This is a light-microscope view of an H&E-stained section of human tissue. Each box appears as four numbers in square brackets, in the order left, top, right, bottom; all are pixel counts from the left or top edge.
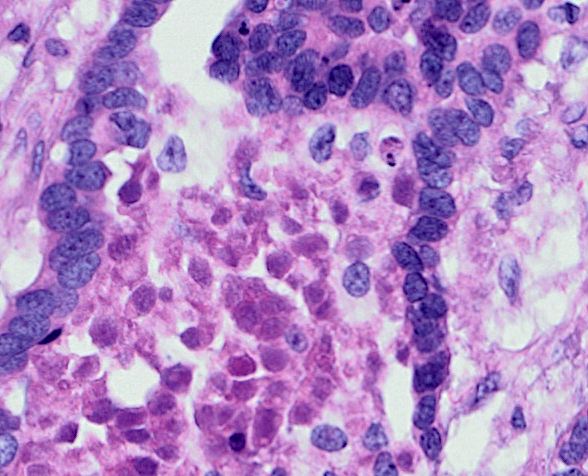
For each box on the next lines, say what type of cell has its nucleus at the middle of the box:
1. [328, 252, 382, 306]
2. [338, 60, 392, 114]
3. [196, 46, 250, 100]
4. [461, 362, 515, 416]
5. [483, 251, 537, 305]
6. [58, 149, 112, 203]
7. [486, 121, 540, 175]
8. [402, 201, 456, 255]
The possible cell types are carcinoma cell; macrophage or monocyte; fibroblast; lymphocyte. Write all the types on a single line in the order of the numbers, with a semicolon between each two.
macrophage or monocyte; carcinoma cell; carcinoma cell; fibroblast; fibroblast; carcinoma cell; fibroblast; carcinoma cell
